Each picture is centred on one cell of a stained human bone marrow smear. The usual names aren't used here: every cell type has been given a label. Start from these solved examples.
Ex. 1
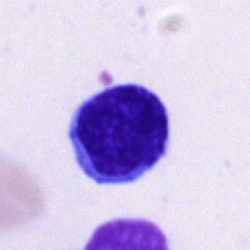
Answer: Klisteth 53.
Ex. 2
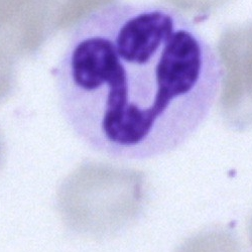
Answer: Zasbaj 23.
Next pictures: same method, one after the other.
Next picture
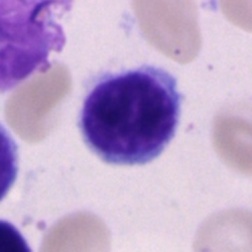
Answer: Klisteth 53.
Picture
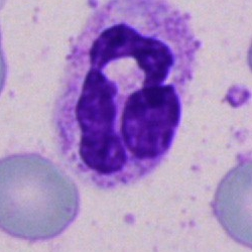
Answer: Zasbaj 23.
